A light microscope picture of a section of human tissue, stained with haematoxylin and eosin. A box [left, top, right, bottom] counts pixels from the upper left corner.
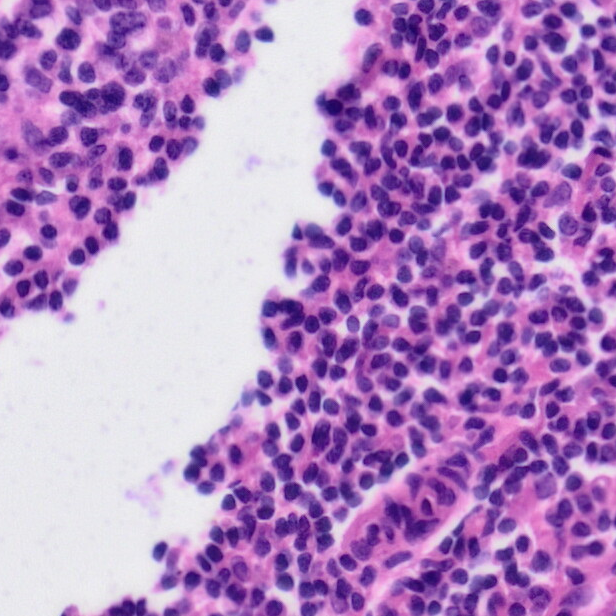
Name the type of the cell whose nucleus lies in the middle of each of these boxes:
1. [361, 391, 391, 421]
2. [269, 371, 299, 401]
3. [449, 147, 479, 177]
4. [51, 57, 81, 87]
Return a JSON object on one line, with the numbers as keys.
{"1": "small lymphocyte", "2": "small lymphocyte", "3": "small lymphocyte", "4": "proliferating B cell"}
